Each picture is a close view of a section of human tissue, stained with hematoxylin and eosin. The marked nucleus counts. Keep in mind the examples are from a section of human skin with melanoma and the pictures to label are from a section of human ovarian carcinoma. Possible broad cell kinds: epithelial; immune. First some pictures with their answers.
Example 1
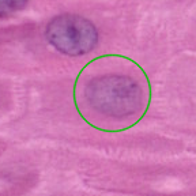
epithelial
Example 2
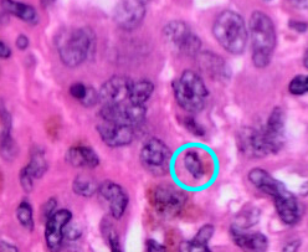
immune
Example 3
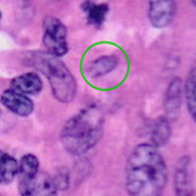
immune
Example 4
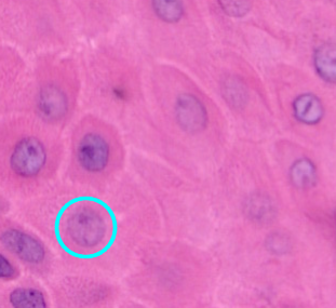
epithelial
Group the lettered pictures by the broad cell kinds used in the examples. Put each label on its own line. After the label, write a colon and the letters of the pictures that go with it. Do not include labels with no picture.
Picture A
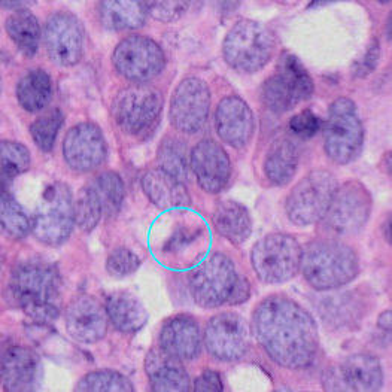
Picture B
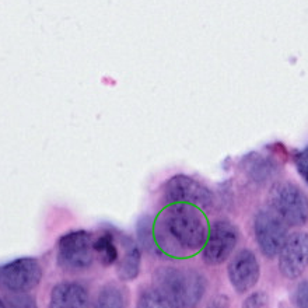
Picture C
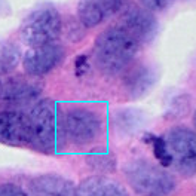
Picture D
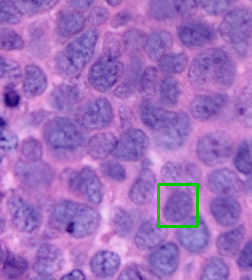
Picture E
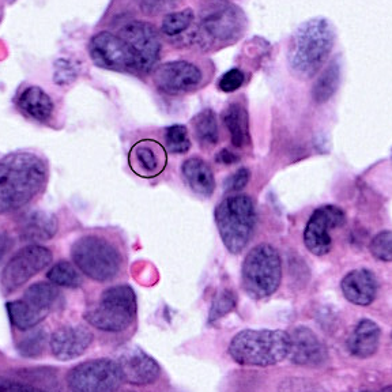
epithelial: B, C, D
immune: A, E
